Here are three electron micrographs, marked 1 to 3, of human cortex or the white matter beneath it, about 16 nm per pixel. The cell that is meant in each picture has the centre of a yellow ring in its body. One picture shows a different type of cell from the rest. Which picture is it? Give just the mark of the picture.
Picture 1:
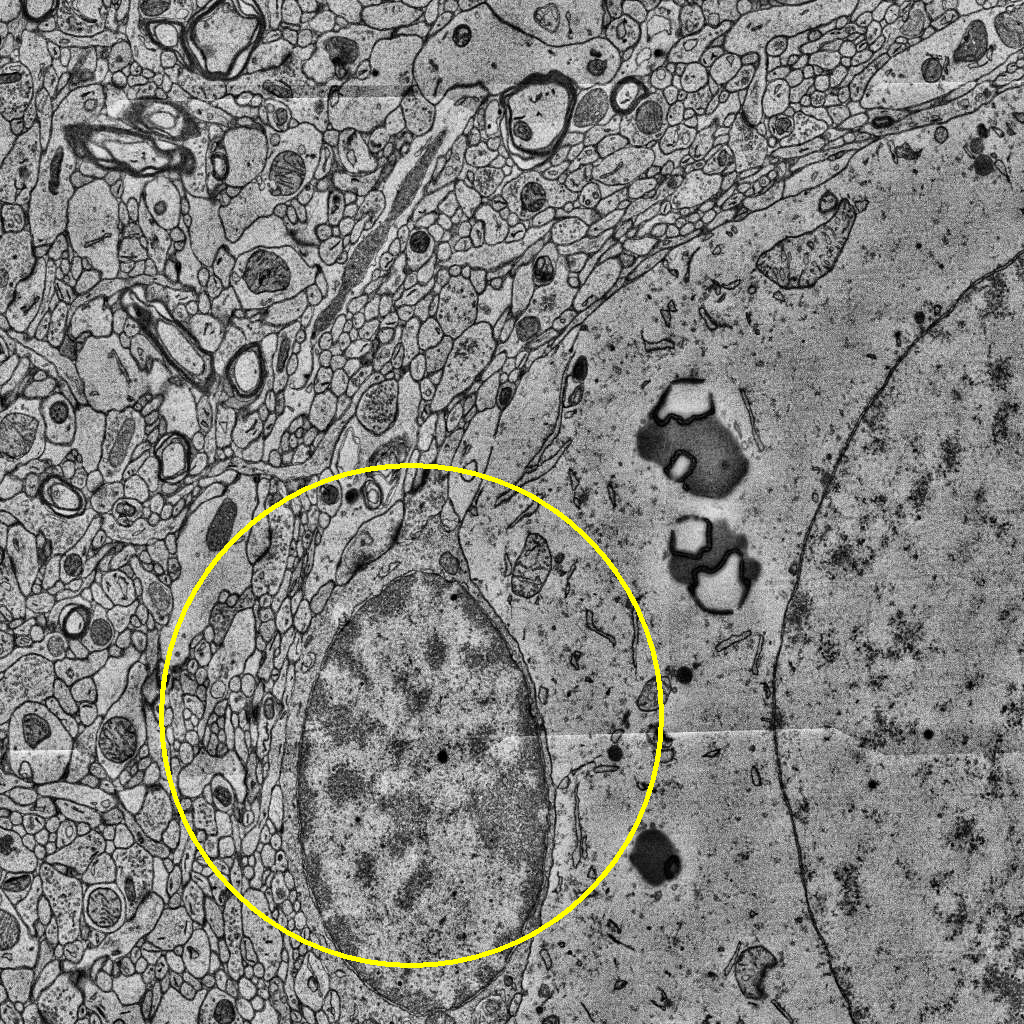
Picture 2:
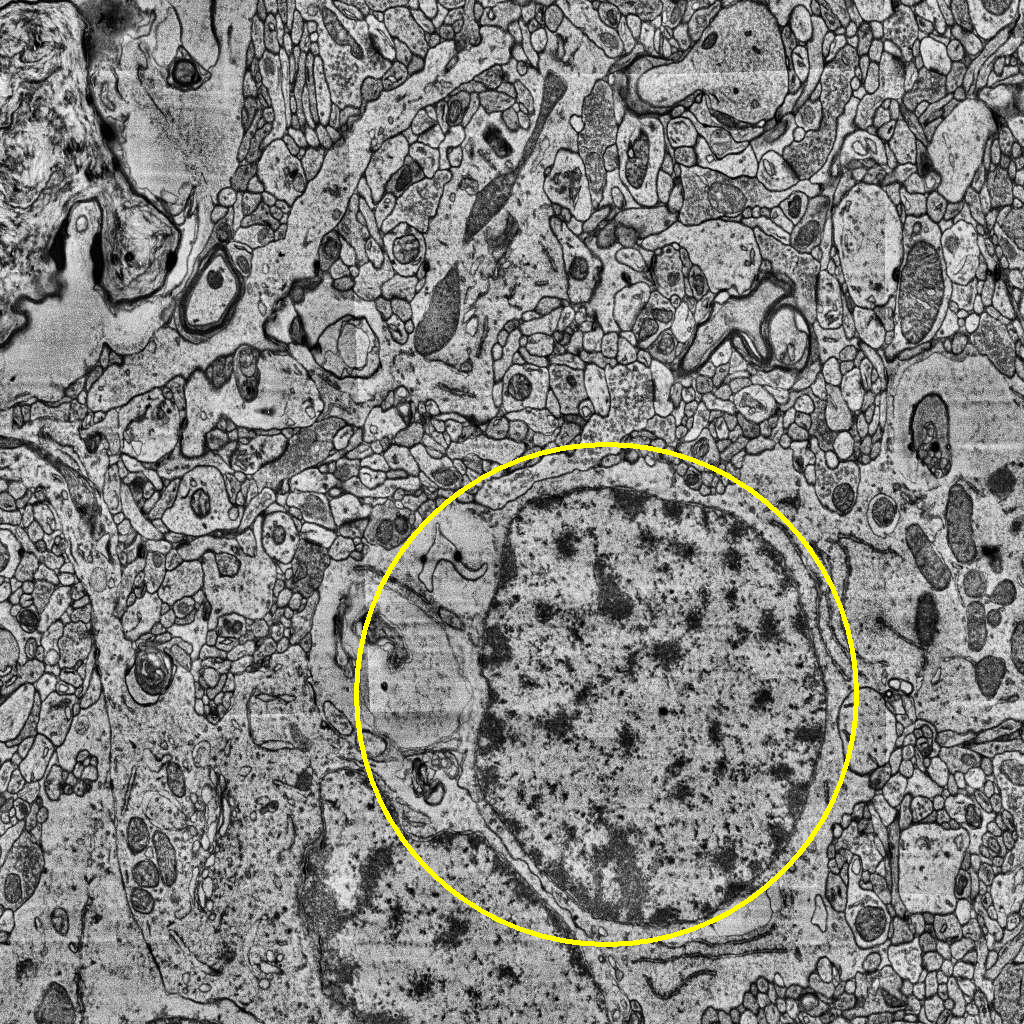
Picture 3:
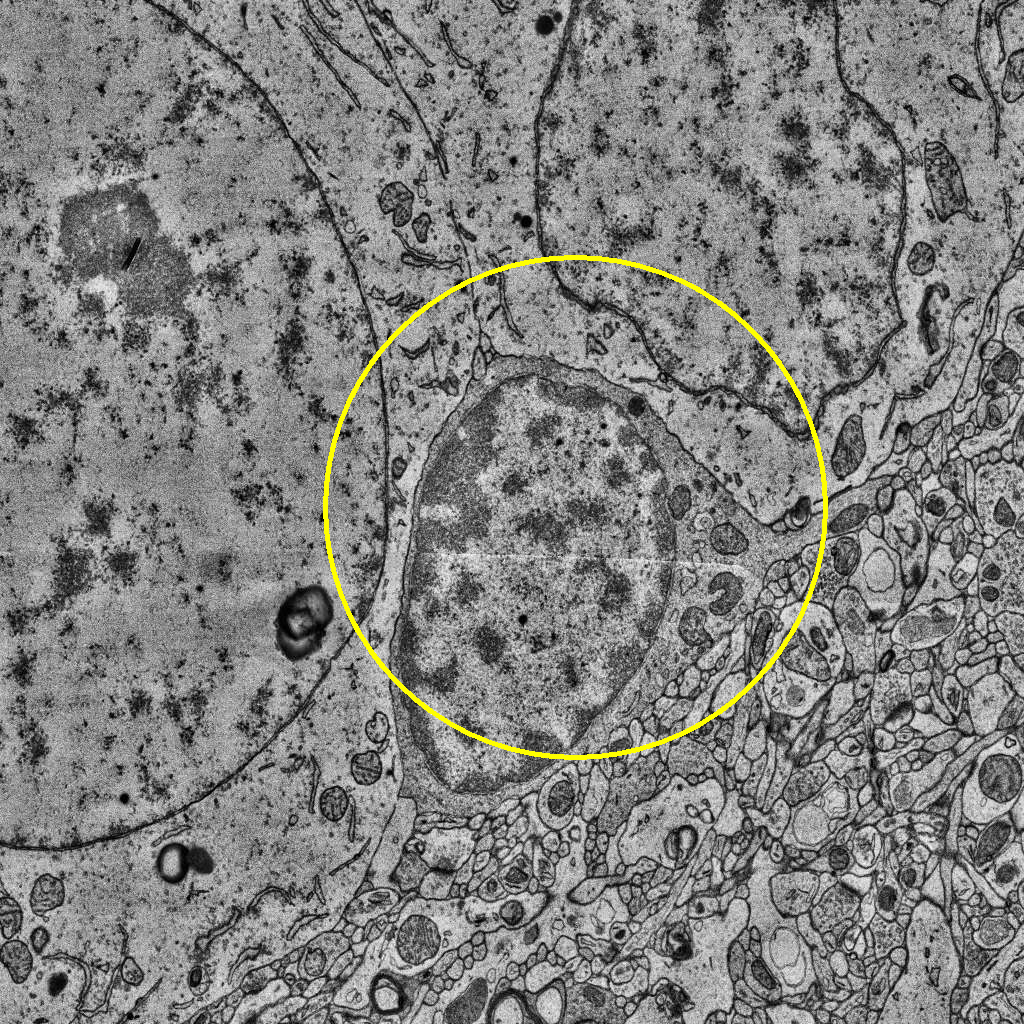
2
